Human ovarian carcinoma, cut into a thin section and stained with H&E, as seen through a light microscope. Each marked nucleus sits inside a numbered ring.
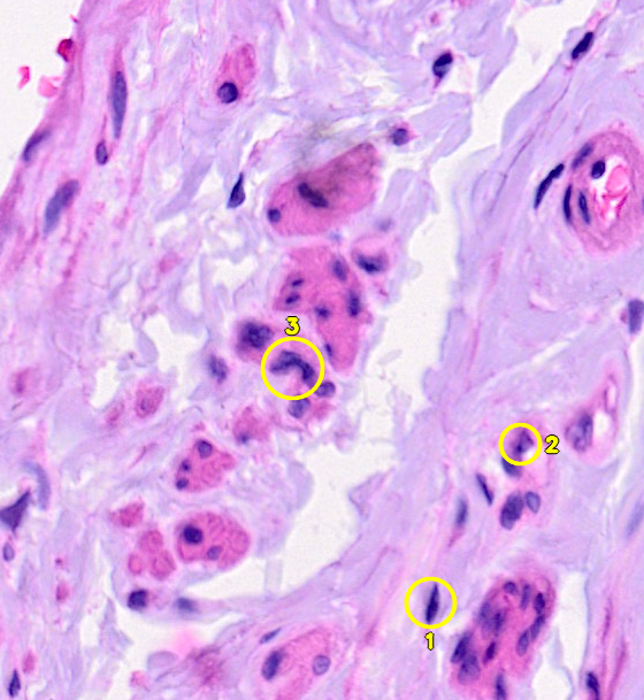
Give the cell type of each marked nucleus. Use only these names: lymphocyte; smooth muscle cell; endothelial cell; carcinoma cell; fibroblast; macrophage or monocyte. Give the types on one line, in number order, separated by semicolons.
fibroblast; endothelial cell; endothelial cell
